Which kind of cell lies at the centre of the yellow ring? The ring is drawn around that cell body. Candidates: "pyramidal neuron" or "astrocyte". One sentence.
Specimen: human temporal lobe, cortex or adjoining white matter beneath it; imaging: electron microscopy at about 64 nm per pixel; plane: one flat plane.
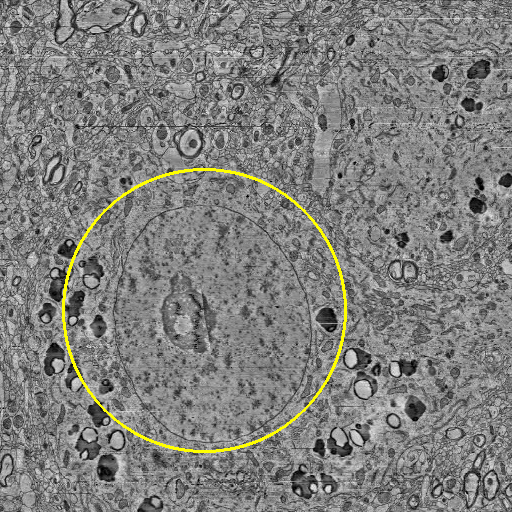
Lying at the centre of the ring is a pyramidal neuron.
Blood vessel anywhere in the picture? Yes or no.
No, no vessel shows anywhere in the image.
